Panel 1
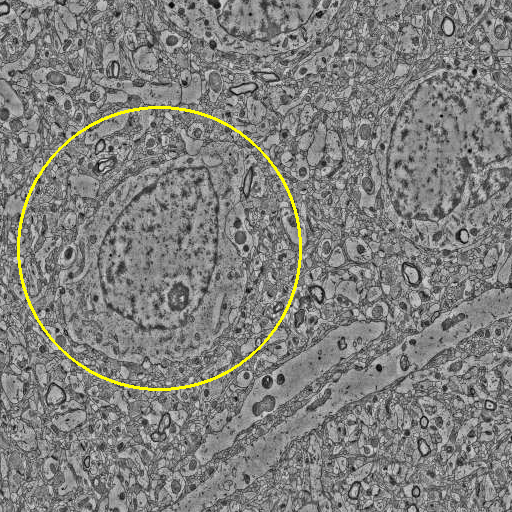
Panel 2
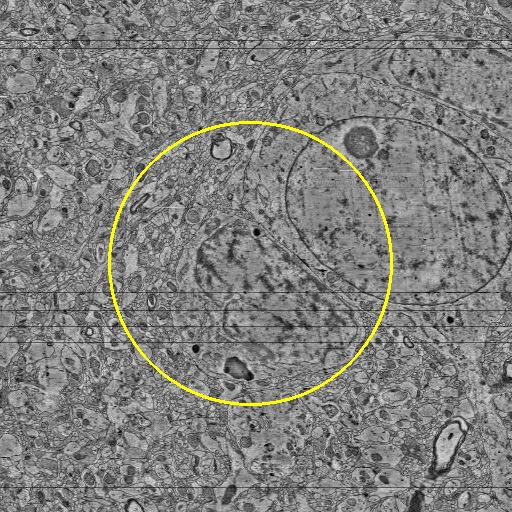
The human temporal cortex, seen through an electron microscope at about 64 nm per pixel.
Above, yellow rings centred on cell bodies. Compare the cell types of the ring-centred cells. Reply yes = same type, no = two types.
yes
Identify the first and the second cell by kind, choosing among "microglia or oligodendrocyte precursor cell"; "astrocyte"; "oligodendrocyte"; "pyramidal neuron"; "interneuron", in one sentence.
In each picture the ringed cell is an interneuron.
